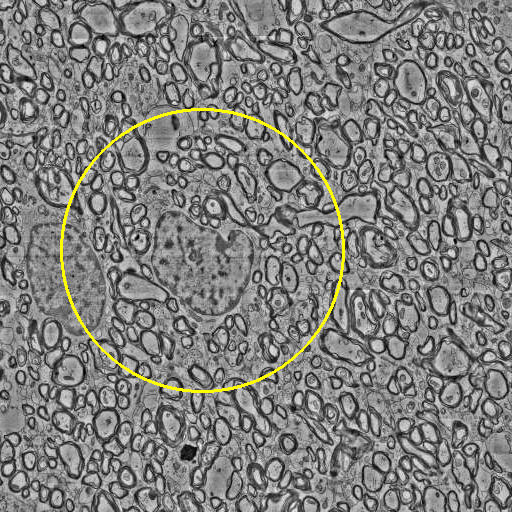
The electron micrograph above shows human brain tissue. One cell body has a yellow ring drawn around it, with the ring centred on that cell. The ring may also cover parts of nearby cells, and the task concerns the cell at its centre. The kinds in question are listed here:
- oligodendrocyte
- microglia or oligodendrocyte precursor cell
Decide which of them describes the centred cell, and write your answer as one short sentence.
The centred cell is a microglial cell or oligodendrocyte precursor cell.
